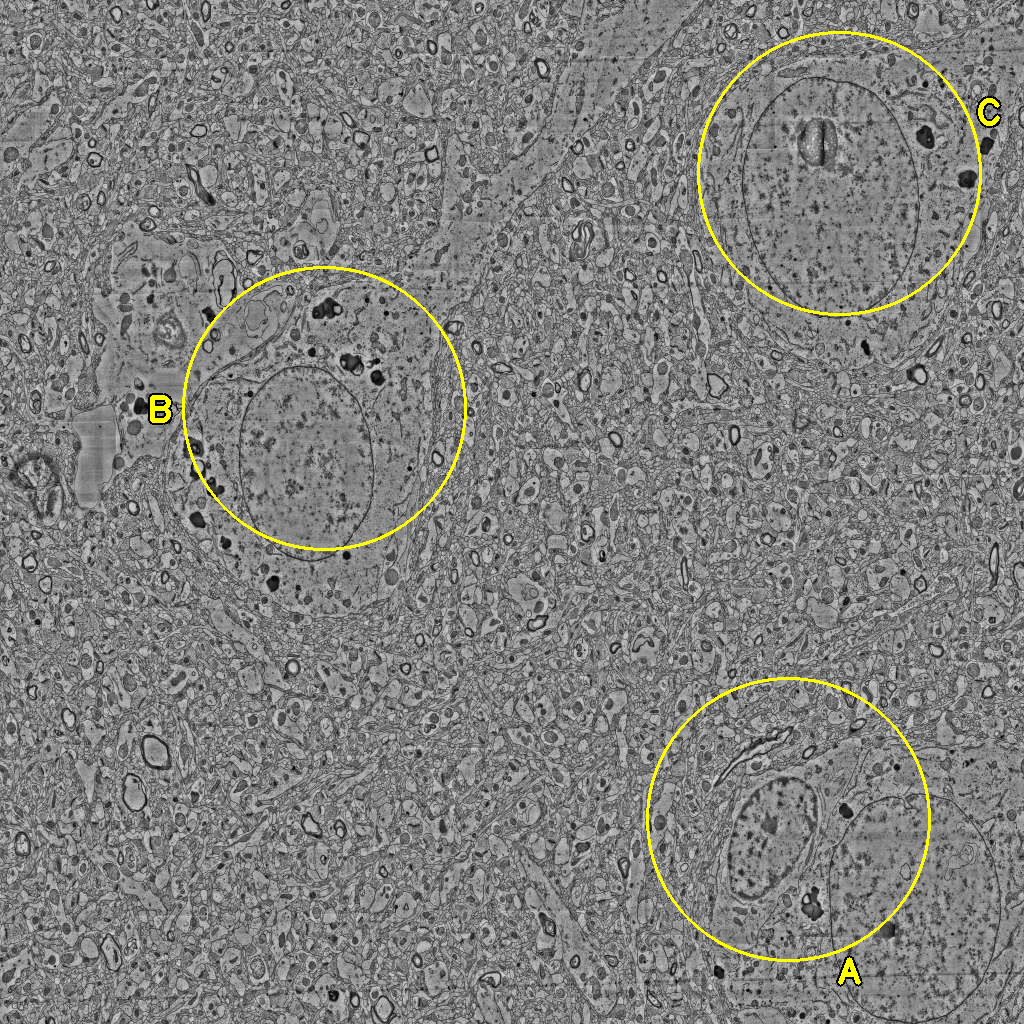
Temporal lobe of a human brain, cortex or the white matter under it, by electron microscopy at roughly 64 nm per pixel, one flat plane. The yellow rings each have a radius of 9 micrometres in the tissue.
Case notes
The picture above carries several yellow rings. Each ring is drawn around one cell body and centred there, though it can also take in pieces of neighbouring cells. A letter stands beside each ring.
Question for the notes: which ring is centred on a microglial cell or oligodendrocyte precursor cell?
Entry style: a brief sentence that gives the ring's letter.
Ring A is centred on it.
